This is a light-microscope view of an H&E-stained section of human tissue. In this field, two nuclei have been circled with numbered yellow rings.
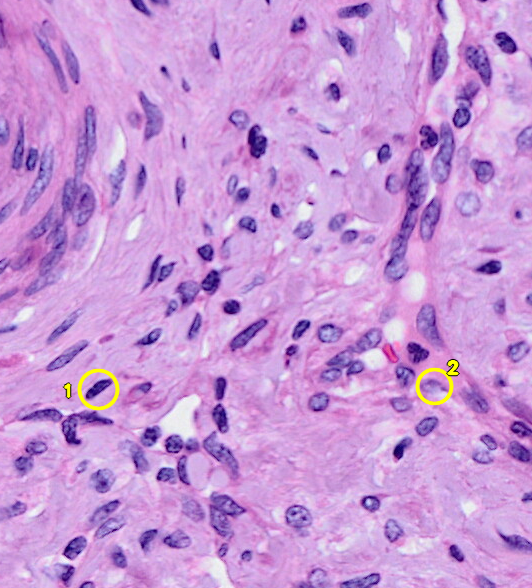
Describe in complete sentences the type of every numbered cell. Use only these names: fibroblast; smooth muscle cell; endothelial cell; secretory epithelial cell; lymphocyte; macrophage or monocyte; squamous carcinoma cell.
Cell 1 is a lymphocyte. Cell 2 is an endothelial cell.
